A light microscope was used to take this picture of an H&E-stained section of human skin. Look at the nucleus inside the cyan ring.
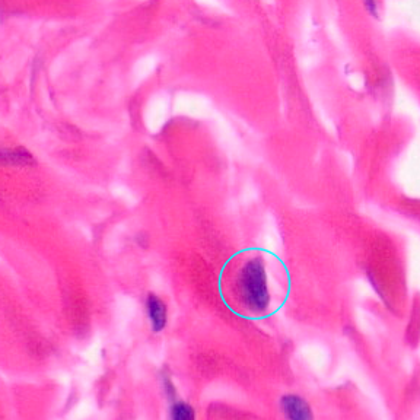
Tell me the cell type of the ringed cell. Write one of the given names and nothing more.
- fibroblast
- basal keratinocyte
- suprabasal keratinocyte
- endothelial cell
fibroblast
